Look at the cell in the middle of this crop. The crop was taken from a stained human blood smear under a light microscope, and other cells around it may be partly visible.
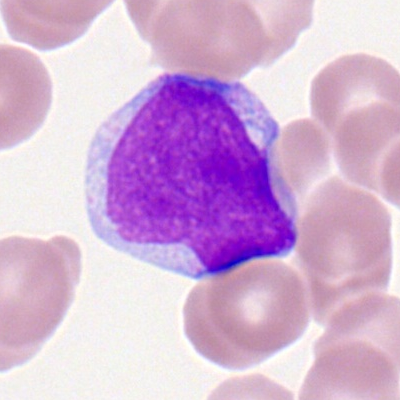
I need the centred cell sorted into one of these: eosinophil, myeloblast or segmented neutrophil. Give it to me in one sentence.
By classification, the middle cell of this crop is a myeloblast.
